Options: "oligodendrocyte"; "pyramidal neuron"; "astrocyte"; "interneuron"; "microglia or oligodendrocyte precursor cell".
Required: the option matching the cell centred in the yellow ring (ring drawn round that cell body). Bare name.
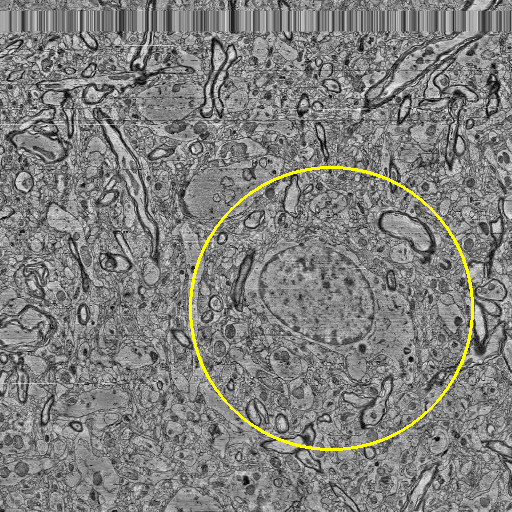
microglia or oligodendrocyte precursor cell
